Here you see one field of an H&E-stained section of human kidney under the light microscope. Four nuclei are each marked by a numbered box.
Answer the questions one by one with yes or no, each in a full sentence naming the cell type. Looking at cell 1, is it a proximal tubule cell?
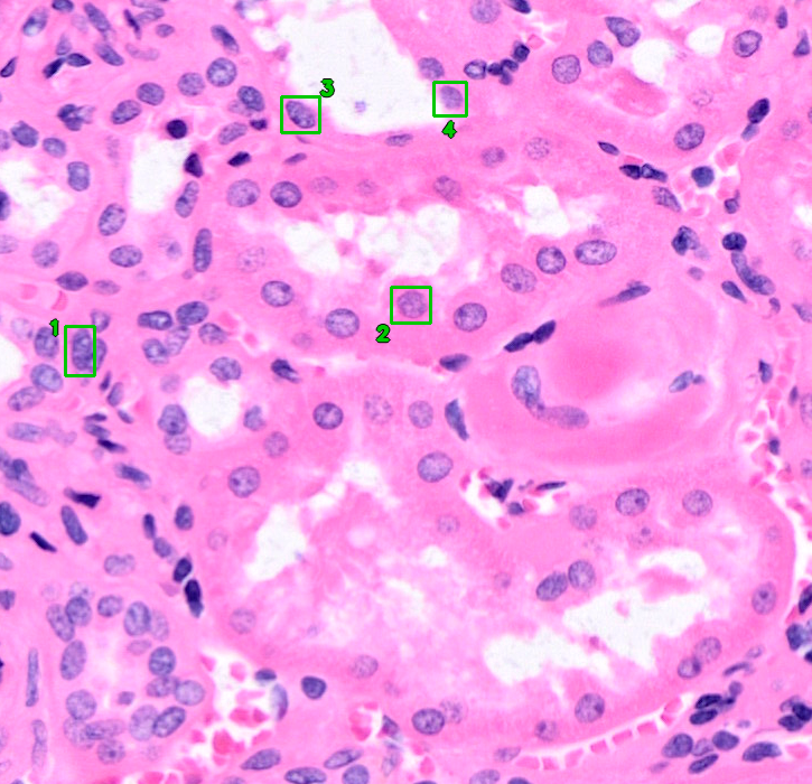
No, the cell indicated by 1 is a collecting duct cell instead of a proximal tubule cell.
